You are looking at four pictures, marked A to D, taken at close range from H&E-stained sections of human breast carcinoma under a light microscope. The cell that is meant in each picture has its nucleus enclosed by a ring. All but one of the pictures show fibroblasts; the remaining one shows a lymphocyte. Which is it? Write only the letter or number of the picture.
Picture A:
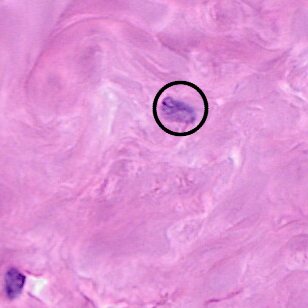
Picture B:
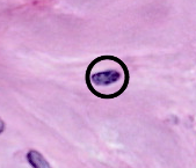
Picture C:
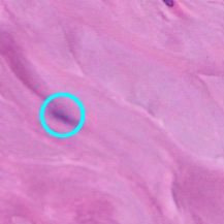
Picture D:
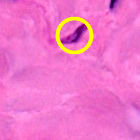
B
